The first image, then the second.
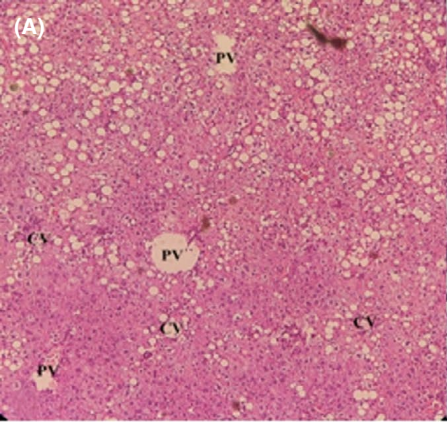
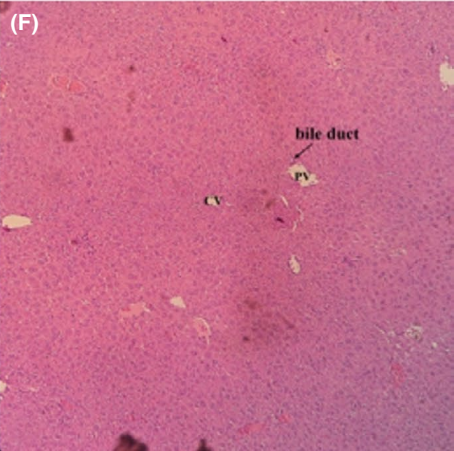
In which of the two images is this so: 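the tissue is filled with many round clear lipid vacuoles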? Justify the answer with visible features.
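The first image. Second image: evenly pink parenchyma without clear vacuoles.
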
